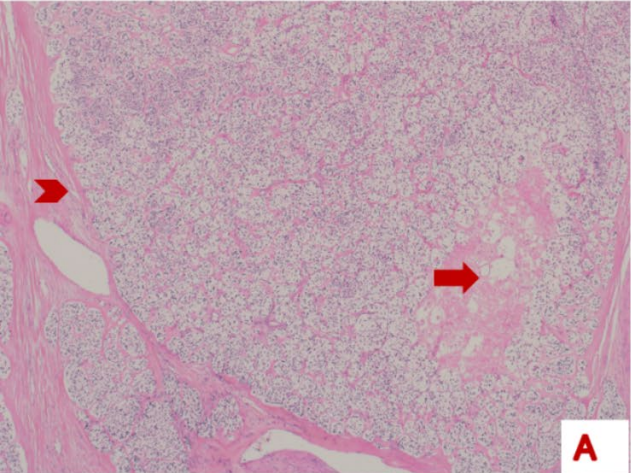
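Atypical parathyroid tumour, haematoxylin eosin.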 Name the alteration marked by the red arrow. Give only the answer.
Coagulation necrosis.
